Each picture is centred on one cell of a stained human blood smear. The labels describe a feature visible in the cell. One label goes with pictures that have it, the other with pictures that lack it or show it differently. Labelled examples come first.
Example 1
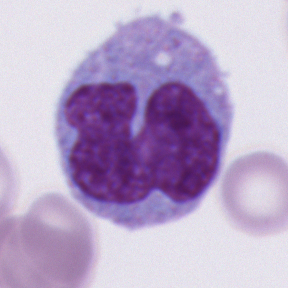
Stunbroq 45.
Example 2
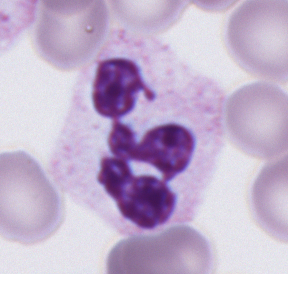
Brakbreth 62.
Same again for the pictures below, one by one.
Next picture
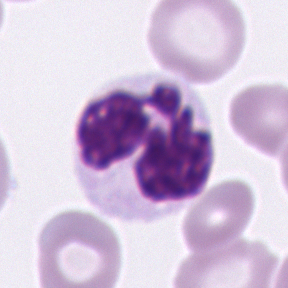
Brakbreth 62.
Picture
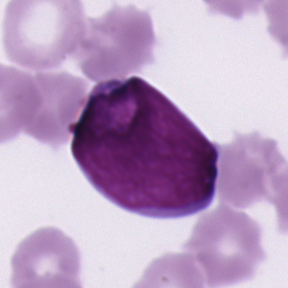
Brakbreth 62.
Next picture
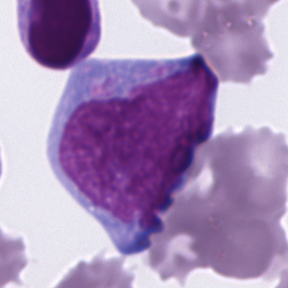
Brakbreth 62.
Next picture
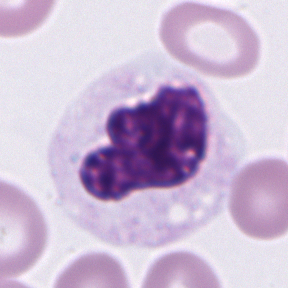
Stunbroq 45.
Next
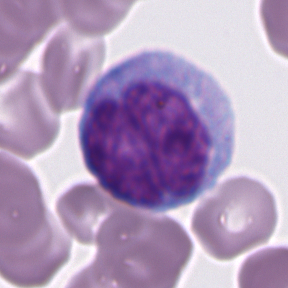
Brakbreth 62.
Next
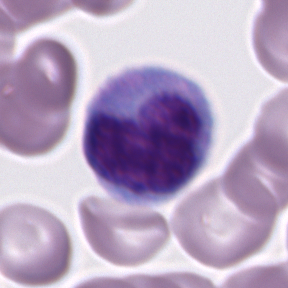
Brakbreth 62.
